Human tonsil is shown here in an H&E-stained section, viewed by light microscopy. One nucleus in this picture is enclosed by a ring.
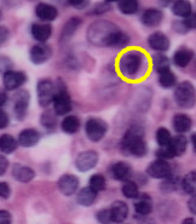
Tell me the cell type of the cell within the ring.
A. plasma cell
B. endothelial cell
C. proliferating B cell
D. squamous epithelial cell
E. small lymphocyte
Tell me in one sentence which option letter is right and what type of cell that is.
The correct option, B, describes the cell within the ring as an endothelial cell.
